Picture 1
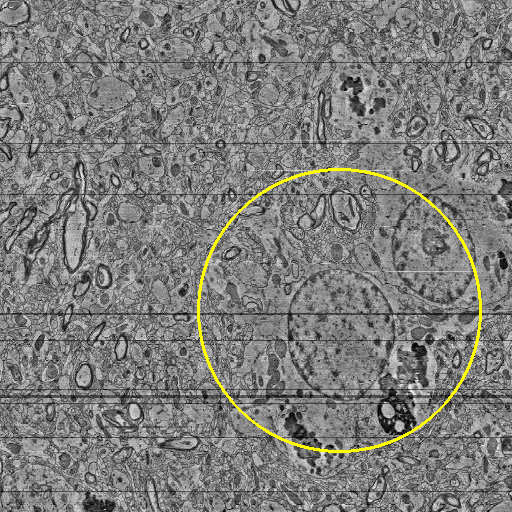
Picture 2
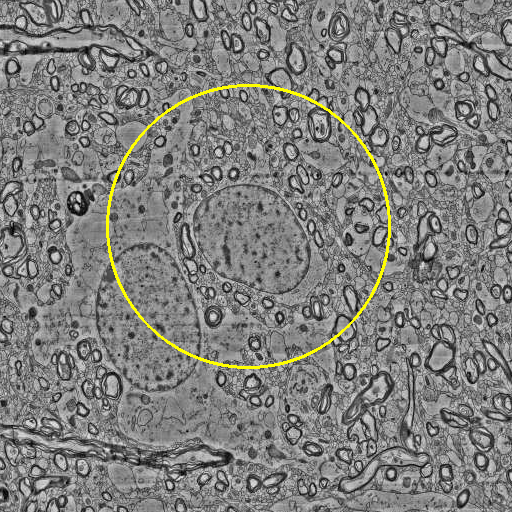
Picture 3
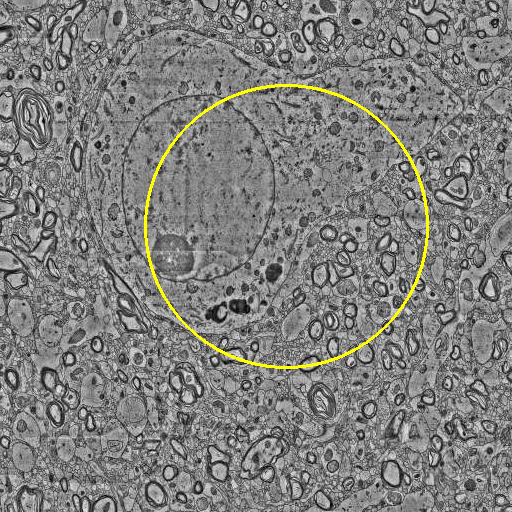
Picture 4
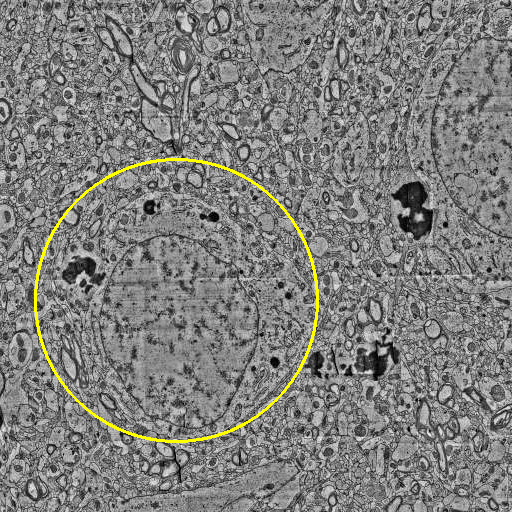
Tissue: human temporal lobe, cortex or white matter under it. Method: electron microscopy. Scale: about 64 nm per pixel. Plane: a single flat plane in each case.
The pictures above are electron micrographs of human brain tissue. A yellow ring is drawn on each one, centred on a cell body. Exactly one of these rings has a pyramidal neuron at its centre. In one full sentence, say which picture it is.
Picture 4 has it at the centre of its ring.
